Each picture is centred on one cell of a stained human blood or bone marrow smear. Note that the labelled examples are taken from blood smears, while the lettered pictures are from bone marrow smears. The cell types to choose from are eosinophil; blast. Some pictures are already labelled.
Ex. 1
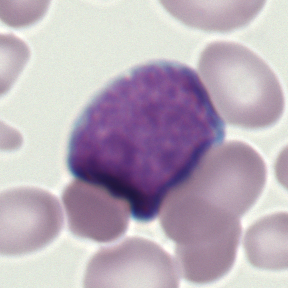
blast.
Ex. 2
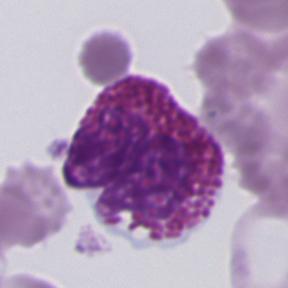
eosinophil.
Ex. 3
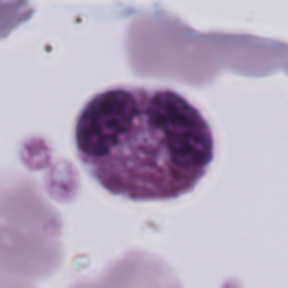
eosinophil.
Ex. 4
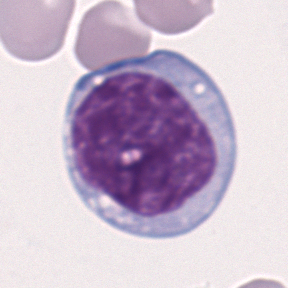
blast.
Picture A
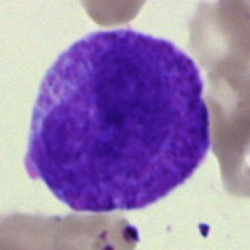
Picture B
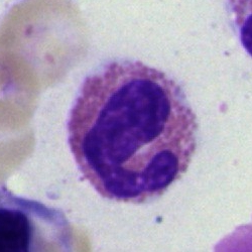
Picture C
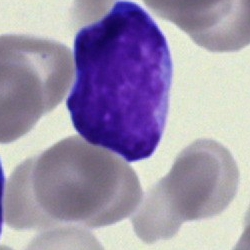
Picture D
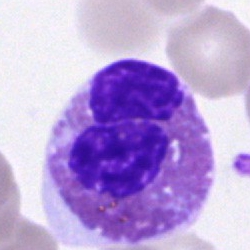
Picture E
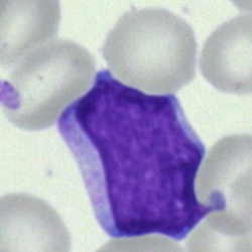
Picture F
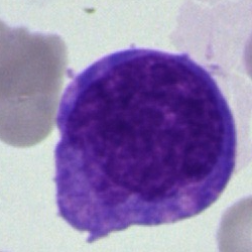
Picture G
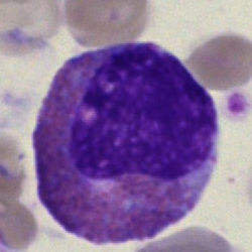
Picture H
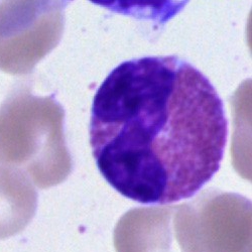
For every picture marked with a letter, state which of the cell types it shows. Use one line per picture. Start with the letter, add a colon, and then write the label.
A: blast.
B: eosinophil.
C: blast.
D: eosinophil.
E: blast.
F: blast.
G: eosinophil.
H: eosinophil.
